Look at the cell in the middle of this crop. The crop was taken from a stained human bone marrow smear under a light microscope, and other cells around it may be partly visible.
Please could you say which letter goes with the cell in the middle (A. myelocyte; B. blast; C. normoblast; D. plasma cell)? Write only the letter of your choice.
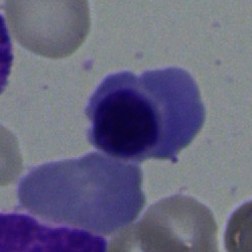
C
